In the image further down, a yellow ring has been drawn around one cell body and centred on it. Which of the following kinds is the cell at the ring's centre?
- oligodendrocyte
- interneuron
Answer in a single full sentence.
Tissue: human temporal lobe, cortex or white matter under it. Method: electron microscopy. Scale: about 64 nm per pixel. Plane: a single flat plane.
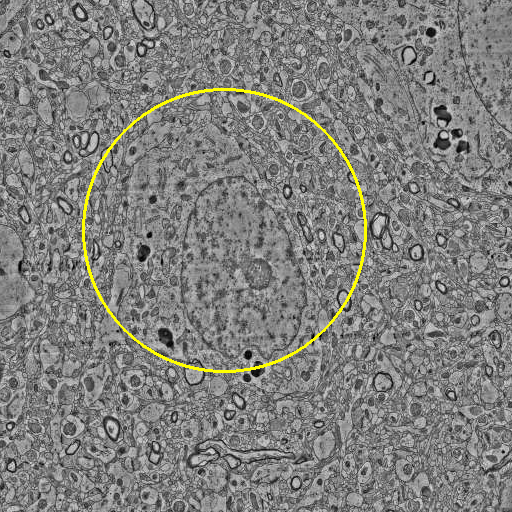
In the picture, the cell sitting at the centre of the yellow ring is an interneuron.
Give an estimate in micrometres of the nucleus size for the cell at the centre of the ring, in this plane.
In this plane, the nucleus is roughly 12 by 8 micrometres.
